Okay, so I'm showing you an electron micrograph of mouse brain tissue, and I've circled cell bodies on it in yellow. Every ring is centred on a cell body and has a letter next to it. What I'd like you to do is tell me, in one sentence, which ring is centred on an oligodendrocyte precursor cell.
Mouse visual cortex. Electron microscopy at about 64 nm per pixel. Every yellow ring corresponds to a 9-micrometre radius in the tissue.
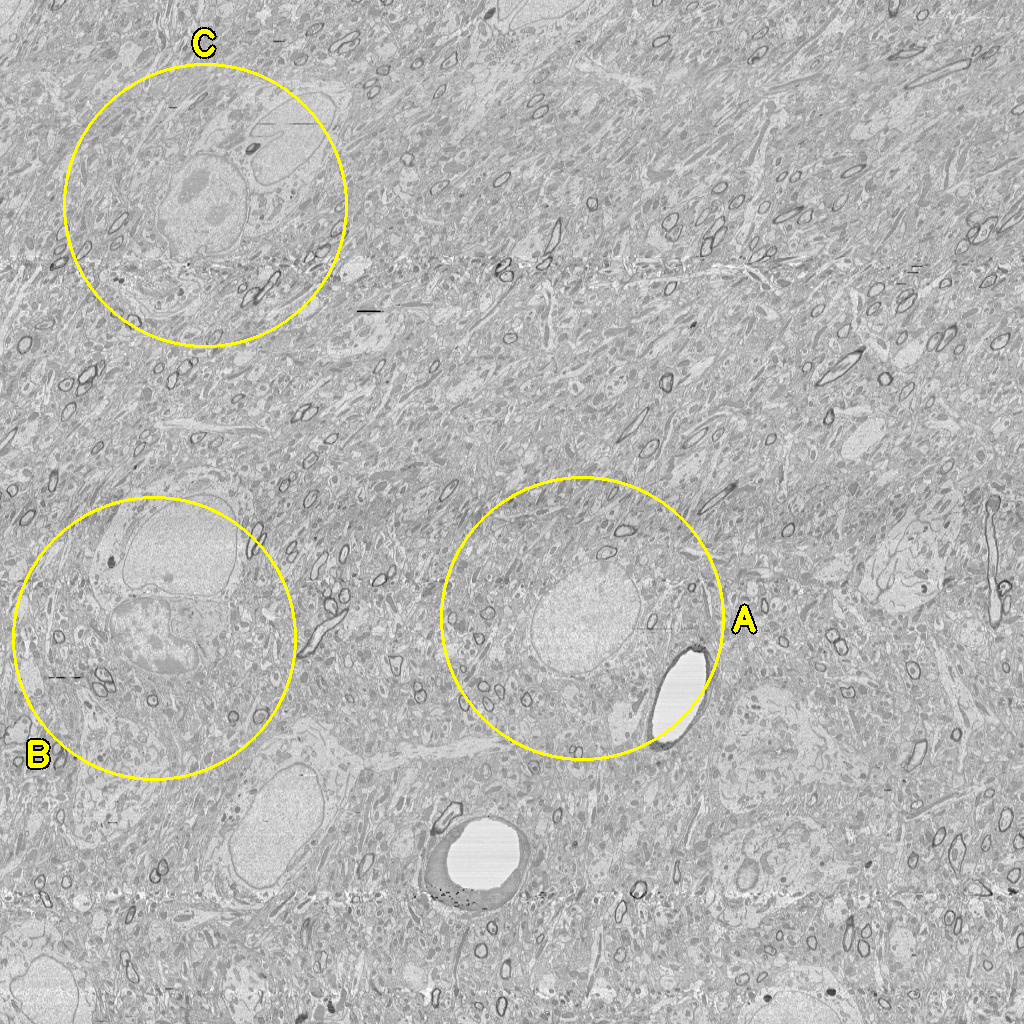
It's ring C.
